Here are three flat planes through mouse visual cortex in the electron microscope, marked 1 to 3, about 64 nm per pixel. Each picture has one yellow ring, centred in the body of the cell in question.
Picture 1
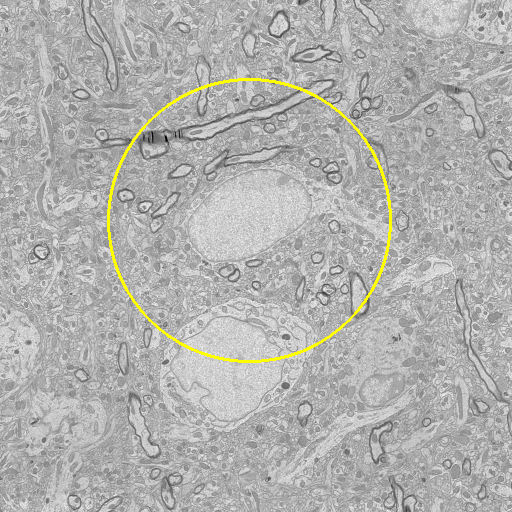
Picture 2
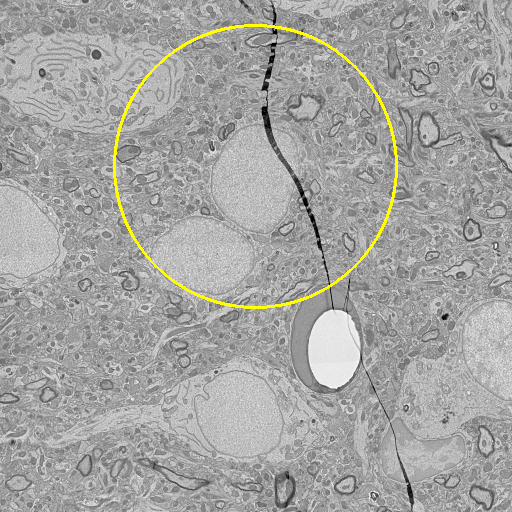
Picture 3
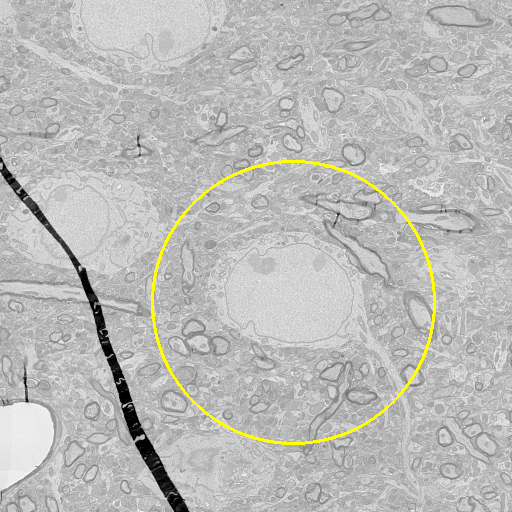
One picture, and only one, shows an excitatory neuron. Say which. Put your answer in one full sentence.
It is picture 3 that shows the excitatory neuron.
